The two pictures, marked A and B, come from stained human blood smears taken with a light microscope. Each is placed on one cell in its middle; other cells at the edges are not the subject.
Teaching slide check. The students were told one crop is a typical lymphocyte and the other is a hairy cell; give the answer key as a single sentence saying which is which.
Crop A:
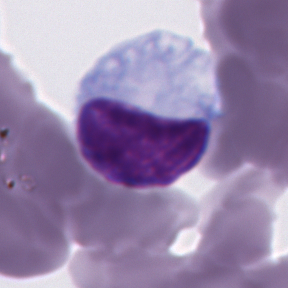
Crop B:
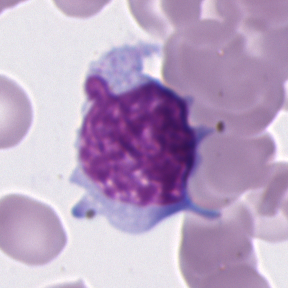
Classification: crop A is a hairy cell, crop B is a typical lymphocyte.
